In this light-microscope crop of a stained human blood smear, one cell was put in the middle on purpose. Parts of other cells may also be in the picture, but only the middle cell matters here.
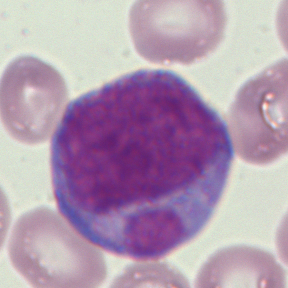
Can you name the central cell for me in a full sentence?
Here the centrally located cell is a promyelocyte.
